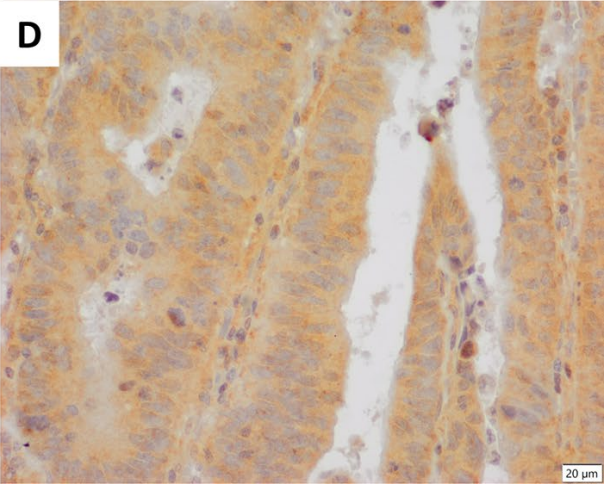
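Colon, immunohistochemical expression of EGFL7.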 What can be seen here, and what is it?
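Adenocarcinoma made of tall columnar tumour cells lining elongated glandular lumina. Nuclei are oval to elongated, crowded and stratified, with loss of basal polarity. Cytoplasm shows moderate diffuse brown staining. Goblet cells are absent, and the lumina contain a few detached cells and debris.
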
